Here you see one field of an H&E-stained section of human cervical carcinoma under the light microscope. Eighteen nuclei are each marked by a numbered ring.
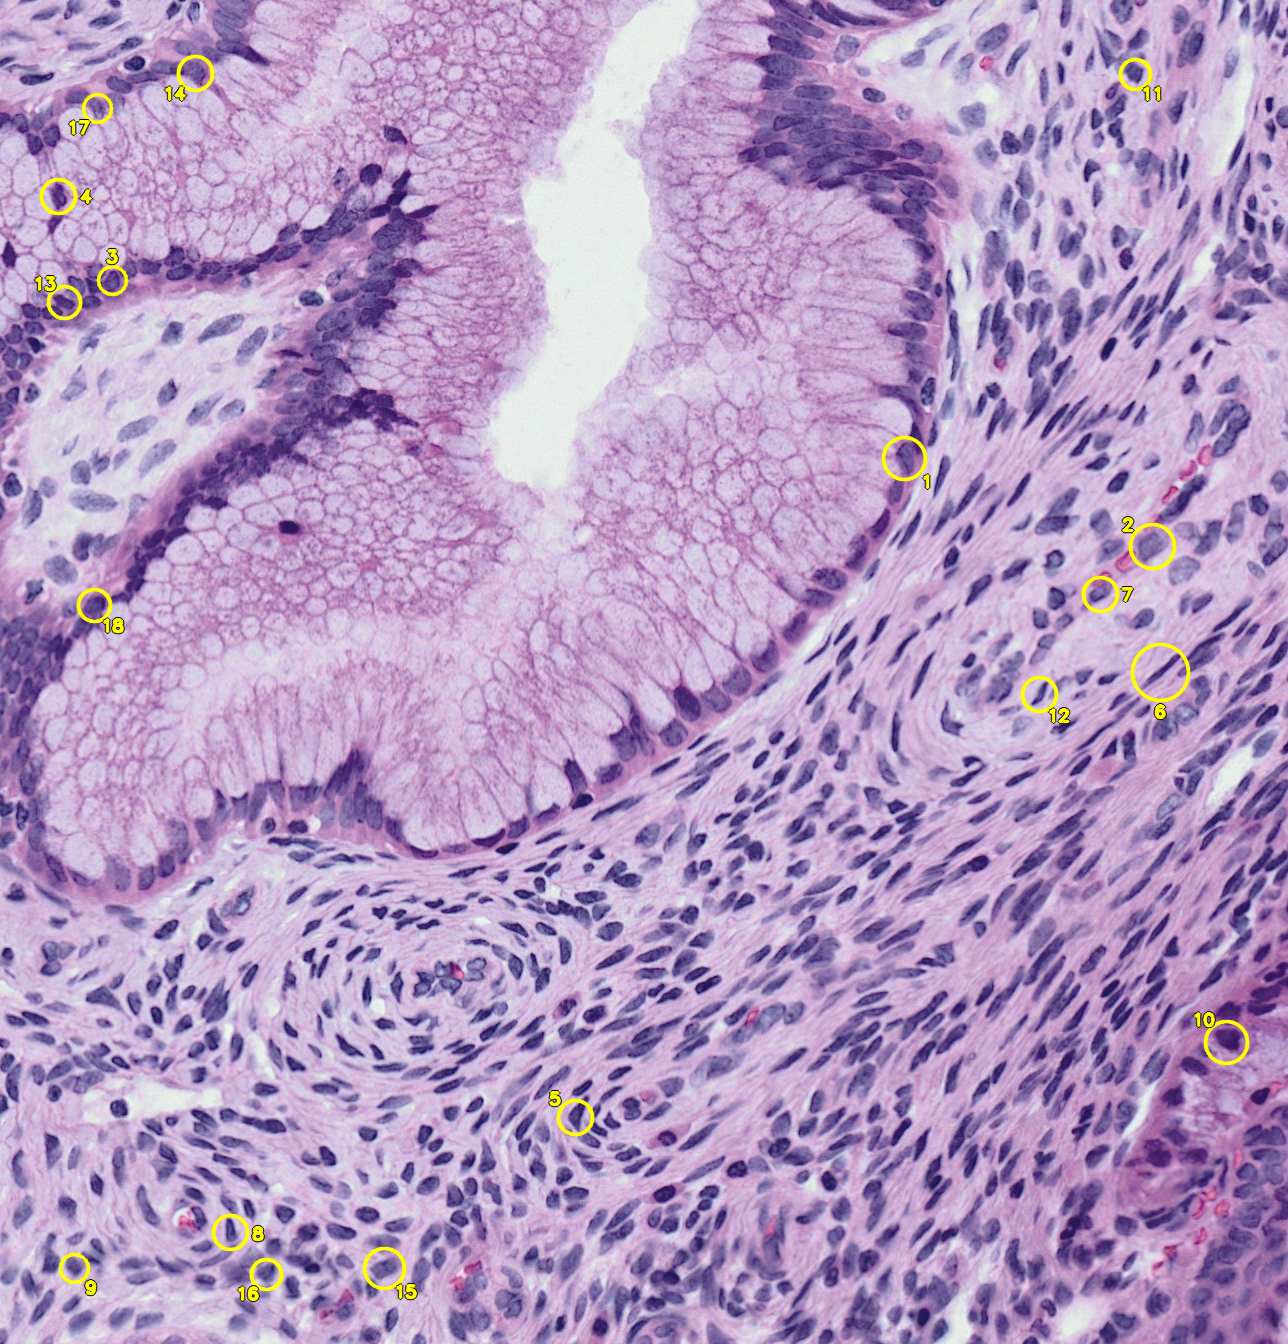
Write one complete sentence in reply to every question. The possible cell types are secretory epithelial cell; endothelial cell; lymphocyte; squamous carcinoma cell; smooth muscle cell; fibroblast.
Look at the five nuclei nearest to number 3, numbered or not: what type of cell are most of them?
Secretory epithelial cells make up most of the five nuclei closest to number 3.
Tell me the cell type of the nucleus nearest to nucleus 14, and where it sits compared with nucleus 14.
The closest nucleus belongs to a secretory epithelial cell and sits above nucleus 14.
